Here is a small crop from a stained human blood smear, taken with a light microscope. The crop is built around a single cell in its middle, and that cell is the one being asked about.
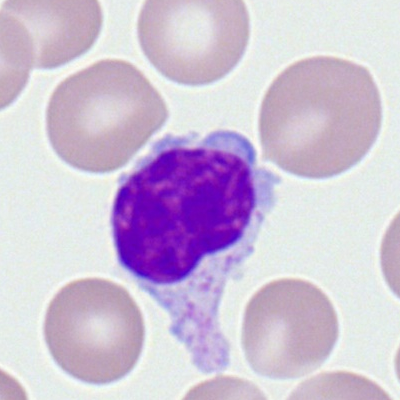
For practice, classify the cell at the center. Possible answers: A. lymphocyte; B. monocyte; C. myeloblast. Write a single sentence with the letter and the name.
Option A is accurate; the centrally placed cell is a lymphocyte.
